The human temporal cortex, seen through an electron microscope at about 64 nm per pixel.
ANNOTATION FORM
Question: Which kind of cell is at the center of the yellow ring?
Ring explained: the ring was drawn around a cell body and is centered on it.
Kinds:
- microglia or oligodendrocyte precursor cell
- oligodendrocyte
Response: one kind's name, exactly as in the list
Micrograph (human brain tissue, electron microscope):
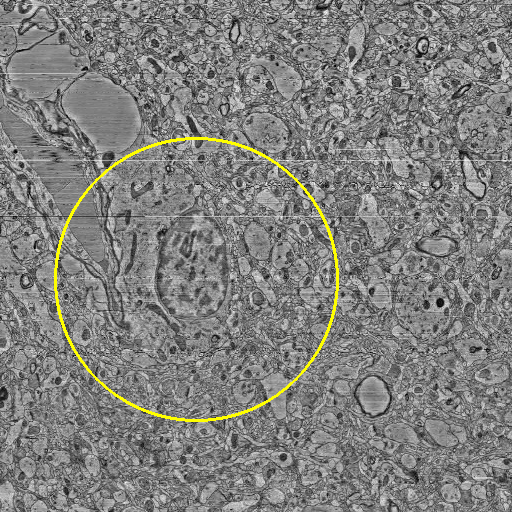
oligodendrocyte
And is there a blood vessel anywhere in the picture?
Yes, the picture includes a blood vessel.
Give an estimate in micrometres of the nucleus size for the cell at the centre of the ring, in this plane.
At approximately 7 by 4 micrometres, the nucleus is clearly longer than it is wide in this plane.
